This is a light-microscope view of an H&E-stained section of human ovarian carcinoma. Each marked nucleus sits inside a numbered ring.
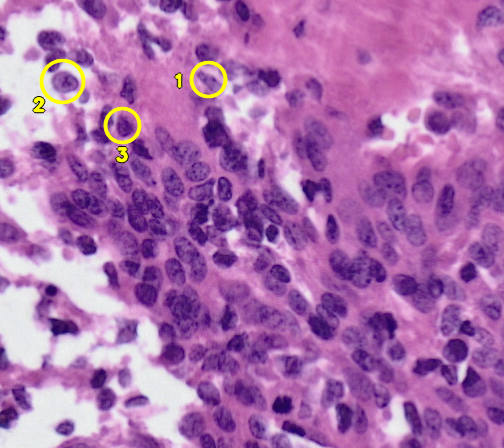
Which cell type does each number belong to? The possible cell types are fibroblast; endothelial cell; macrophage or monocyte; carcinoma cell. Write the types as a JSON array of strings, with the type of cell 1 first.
["macrophage or monocyte", "carcinoma cell", "carcinoma cell"]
